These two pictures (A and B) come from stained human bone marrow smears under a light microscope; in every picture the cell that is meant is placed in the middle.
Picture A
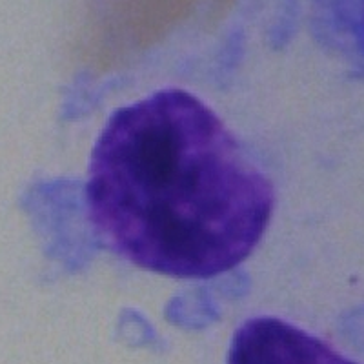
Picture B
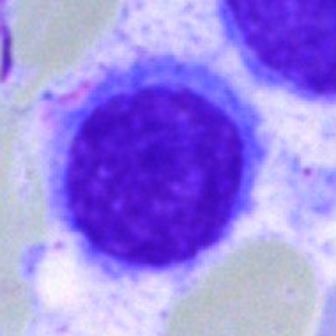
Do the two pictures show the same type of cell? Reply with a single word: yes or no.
yes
